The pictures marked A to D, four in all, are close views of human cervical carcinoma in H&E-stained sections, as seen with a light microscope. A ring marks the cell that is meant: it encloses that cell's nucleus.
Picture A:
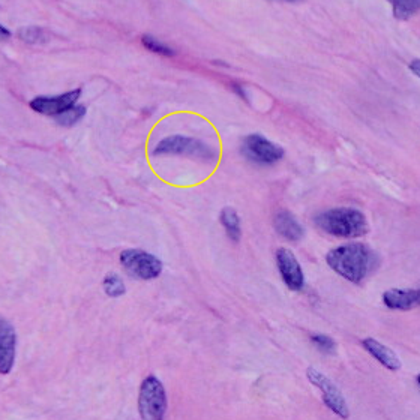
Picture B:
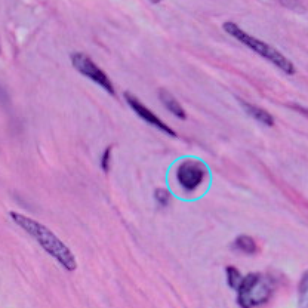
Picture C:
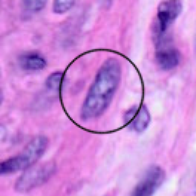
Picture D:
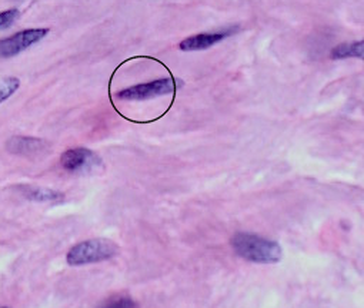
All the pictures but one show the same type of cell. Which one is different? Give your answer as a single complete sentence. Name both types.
The different one is picture C; it shows a smooth muscle cell, whereas all the others show fibroblasts.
